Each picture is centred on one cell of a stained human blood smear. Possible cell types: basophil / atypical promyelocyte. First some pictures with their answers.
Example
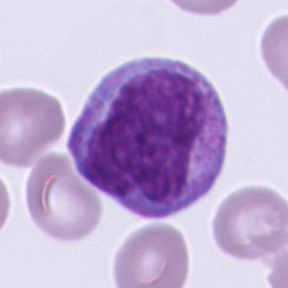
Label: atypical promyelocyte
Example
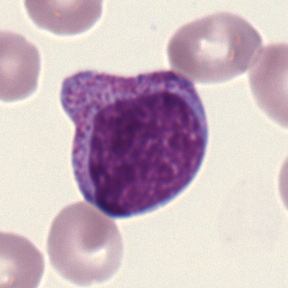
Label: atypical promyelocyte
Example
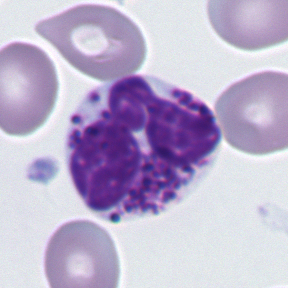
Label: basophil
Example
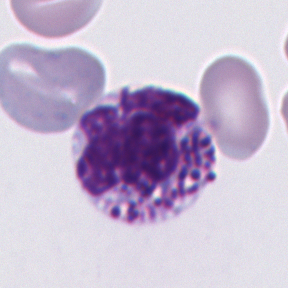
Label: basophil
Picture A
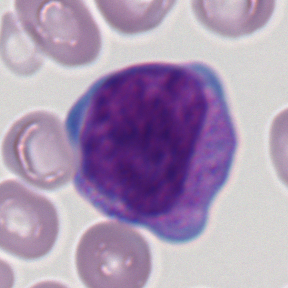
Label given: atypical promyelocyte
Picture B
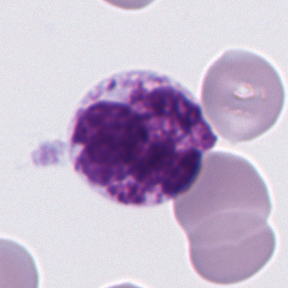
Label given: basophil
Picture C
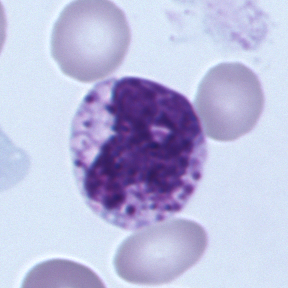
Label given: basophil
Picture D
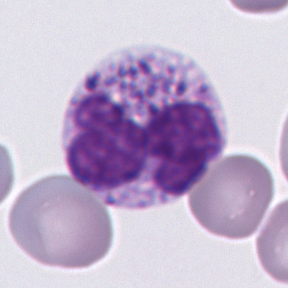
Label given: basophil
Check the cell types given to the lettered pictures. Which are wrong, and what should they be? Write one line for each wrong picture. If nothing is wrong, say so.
None of the labels needs changing.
